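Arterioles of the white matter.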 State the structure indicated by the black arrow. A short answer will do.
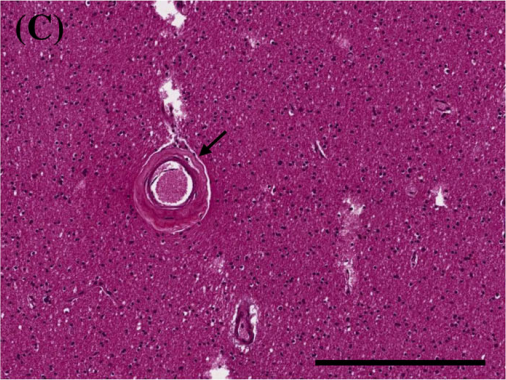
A: adventitia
